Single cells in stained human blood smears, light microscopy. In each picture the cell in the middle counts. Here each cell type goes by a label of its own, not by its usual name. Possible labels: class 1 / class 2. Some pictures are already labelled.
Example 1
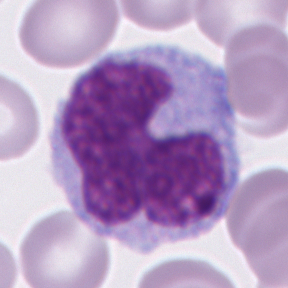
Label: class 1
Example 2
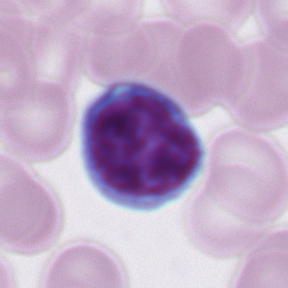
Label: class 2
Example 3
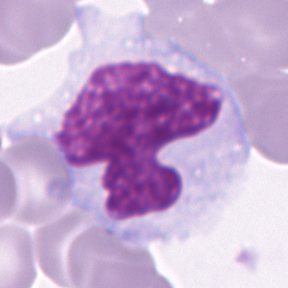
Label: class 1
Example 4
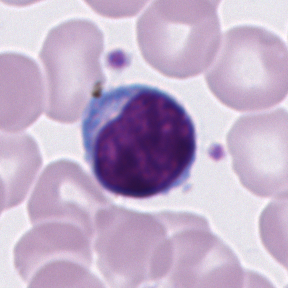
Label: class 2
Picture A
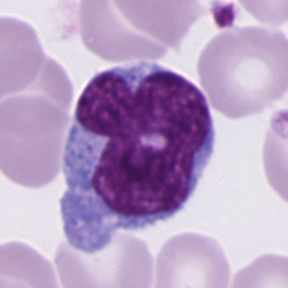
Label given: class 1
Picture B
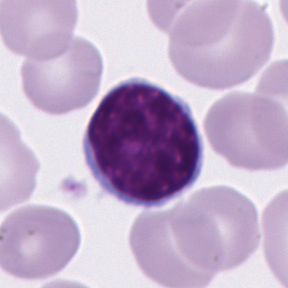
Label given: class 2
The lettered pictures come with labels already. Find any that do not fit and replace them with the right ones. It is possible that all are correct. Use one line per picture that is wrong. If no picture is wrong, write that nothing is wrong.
No label is wrong.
